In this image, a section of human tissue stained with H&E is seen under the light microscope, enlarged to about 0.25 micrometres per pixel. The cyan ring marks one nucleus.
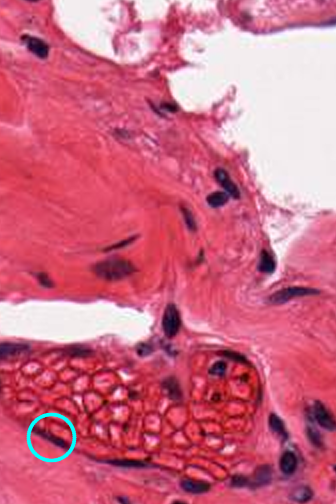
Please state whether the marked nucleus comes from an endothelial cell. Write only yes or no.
yes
